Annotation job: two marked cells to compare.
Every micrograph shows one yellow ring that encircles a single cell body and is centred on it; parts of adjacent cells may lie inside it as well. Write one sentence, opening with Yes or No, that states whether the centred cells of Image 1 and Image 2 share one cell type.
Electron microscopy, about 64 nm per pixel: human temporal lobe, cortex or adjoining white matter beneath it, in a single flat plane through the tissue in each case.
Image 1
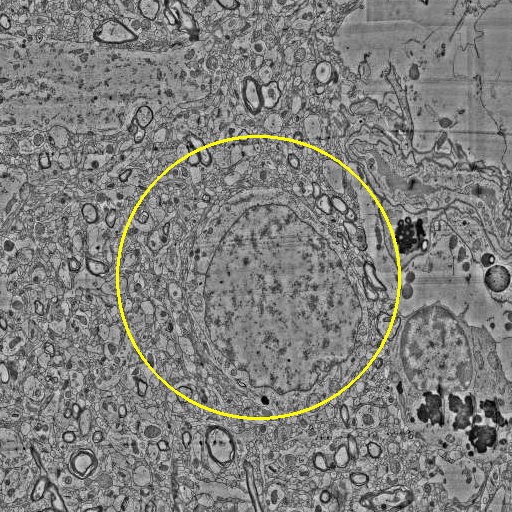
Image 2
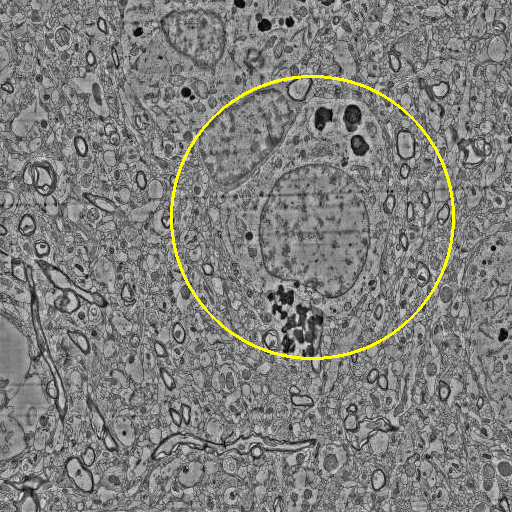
Yes, the cell centred in Image 1 shares its type with the cell centred in Image 2.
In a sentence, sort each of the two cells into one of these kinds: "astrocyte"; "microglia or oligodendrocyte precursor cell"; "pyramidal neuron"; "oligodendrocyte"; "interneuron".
Both the first and the second picture show a pyramidal neuron in the ring.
